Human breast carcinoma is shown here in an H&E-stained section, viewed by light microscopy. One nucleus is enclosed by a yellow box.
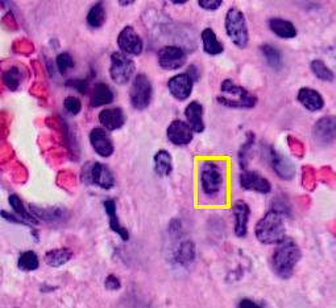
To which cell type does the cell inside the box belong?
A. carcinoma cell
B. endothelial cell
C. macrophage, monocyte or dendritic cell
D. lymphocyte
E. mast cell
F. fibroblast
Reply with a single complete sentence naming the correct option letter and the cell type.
Identified correctly by option E, the cell inside the box is a mast cell.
